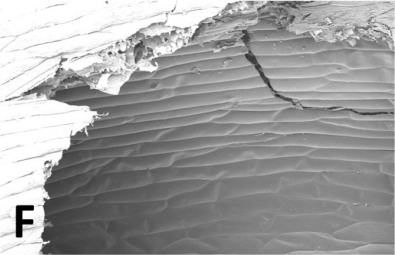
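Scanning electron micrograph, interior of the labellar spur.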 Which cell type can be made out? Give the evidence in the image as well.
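Long narrow cells lie side by side in parallel rows. Their surfaces are flat and without bumps or ornament. On this evidence: Smooth cells.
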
